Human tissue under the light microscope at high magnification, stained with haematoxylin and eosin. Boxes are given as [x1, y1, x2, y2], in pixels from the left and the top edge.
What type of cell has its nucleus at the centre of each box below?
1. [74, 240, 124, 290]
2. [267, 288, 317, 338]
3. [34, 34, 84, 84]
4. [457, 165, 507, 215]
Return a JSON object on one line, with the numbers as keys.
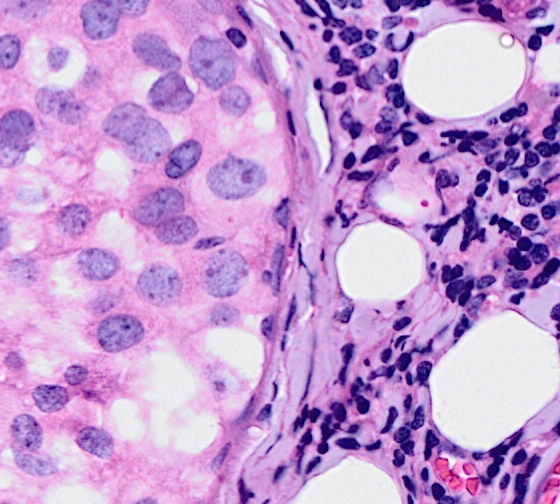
{"1": "carcinoma cell", "2": "fibroblast", "3": "carcinoma cell", "4": "lymphocyte"}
